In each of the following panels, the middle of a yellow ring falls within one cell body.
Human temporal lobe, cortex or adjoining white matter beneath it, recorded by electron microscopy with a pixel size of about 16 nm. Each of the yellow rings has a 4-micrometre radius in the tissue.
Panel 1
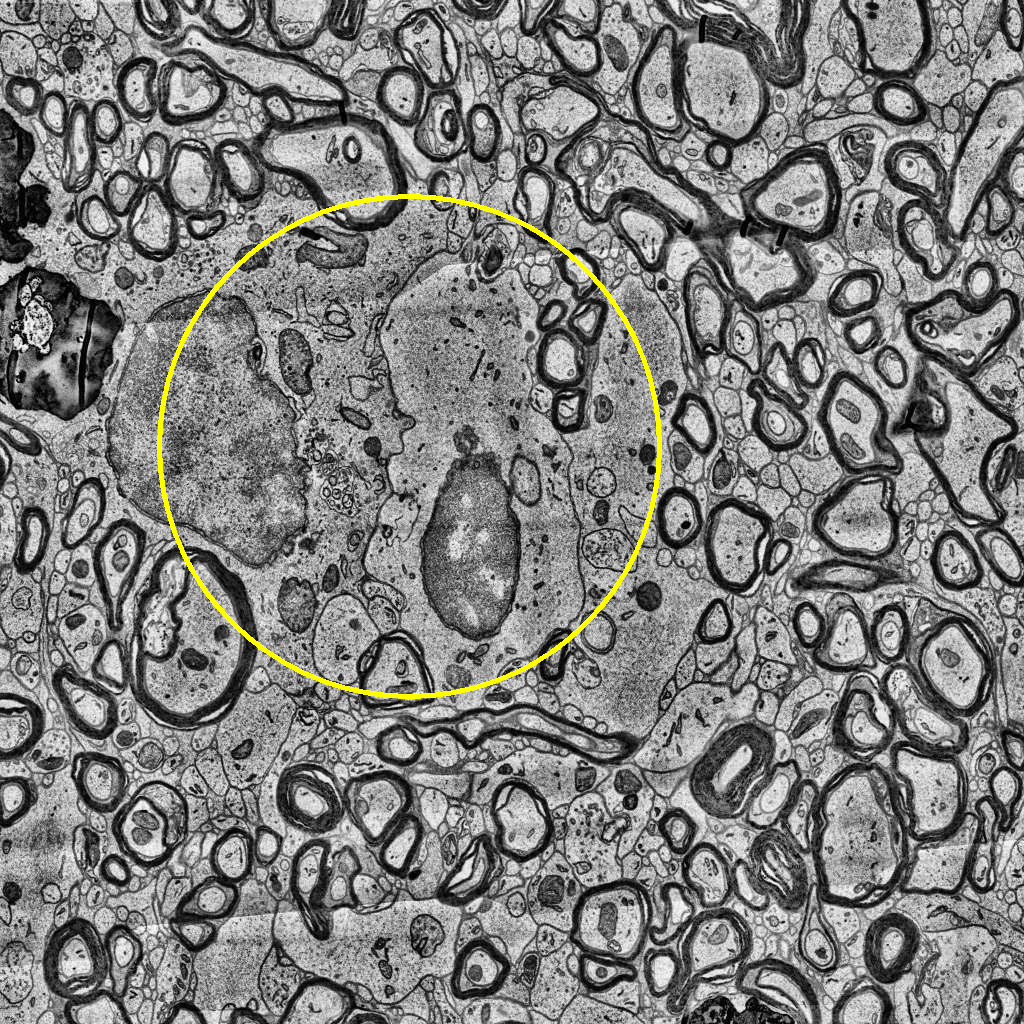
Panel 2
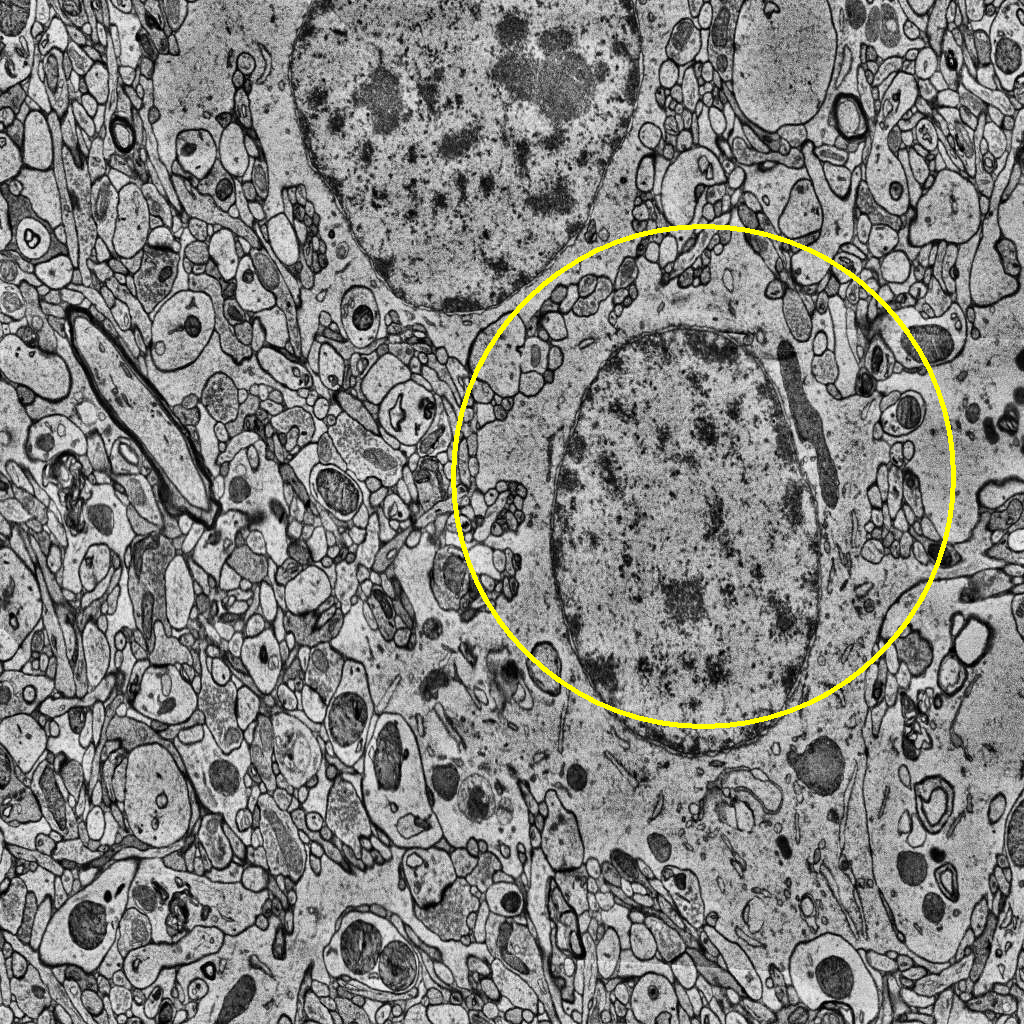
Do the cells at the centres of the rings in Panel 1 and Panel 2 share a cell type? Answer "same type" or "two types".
two types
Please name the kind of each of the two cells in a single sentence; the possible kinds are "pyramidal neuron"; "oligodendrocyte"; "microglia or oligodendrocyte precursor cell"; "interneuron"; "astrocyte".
The second cell is an astrocyte, and the first cell is a microglial cell or oligodendrocyte precursor cell.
